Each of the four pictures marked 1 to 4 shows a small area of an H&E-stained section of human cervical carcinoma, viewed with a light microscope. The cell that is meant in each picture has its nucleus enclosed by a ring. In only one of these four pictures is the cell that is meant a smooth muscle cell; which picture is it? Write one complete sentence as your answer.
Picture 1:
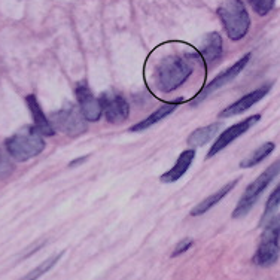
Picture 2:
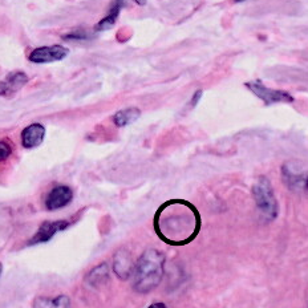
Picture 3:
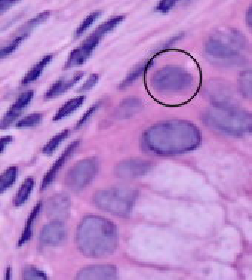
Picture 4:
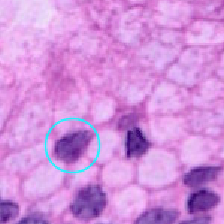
Picture 2 shows the smooth muscle cell.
